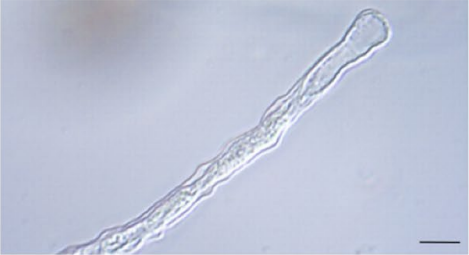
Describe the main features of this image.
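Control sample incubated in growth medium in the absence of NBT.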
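An unstained pollen tube is seen as a single long, narrow cylindrical cell crossing the field diagonally. Its end is rounded and slightly widened. The cell outline is clear, and the contents appear colourless and granular, with irregular strands and vacuole-like spaces along the tube. No coloured deposit is visible anywhere in the cell.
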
